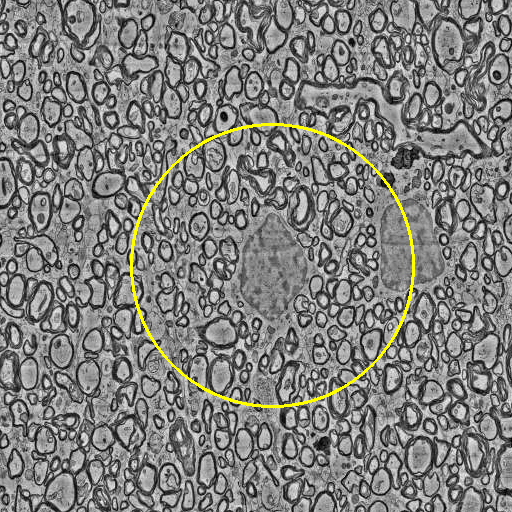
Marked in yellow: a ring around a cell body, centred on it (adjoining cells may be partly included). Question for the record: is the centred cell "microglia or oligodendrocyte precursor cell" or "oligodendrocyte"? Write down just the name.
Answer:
oligodendrocyte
